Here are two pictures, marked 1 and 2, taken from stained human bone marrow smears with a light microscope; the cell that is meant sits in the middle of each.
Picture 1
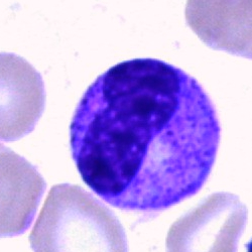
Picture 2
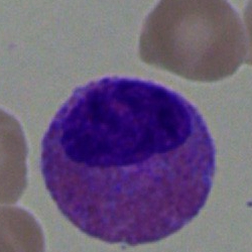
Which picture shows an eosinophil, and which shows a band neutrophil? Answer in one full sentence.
In picture 1 the cell is a band neutrophil; in picture 2, an eosinophil.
